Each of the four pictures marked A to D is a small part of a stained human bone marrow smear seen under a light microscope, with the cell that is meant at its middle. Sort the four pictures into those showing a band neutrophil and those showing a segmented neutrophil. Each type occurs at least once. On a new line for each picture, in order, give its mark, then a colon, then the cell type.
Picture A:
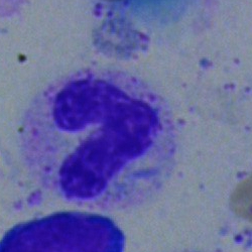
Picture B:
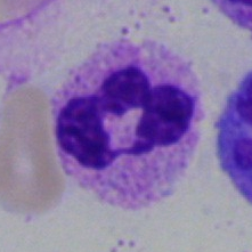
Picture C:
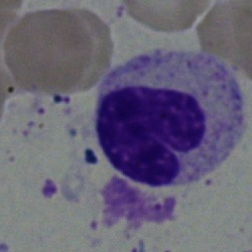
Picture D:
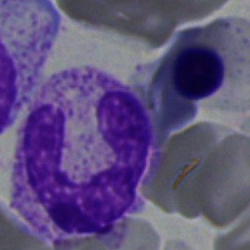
A: band neutrophil
B: segmented neutrophil
C: band neutrophil
D: band neutrophil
